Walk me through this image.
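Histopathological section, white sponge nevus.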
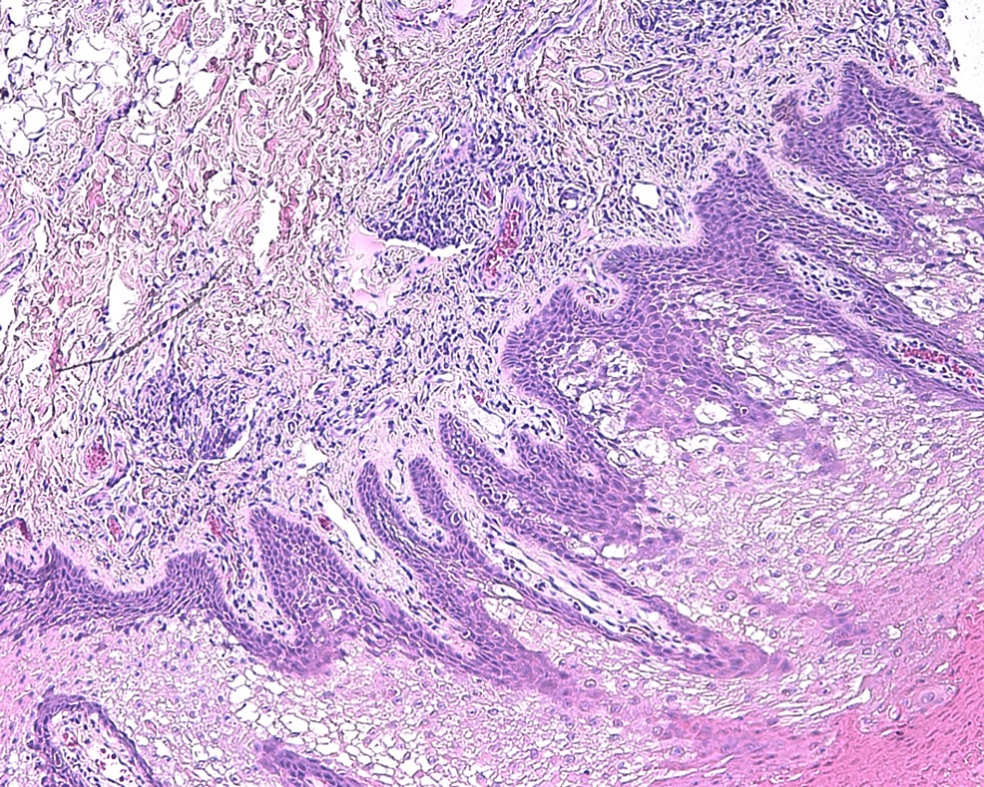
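This is a stratified squamous epithelium with long, slender rete ridges reaching down into the connective tissue. The basal cells along the border with the connective tissue form a compact, dark purple band, while the cells above them are swollen, with pale, clear, vacuolated cytoplasm that gives the epithelium a washed-out look toward the pink surface layer. Below the epithelium lies loose connective tissue with small blood vessels, scattered dark inflammatory cells and some fat.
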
